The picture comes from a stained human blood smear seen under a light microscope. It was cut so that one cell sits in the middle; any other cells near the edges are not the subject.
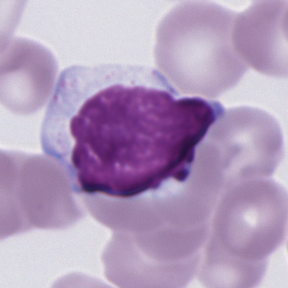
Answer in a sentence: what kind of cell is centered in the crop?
In this crop, the cell at the very middle is a large granular lymphocyte.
